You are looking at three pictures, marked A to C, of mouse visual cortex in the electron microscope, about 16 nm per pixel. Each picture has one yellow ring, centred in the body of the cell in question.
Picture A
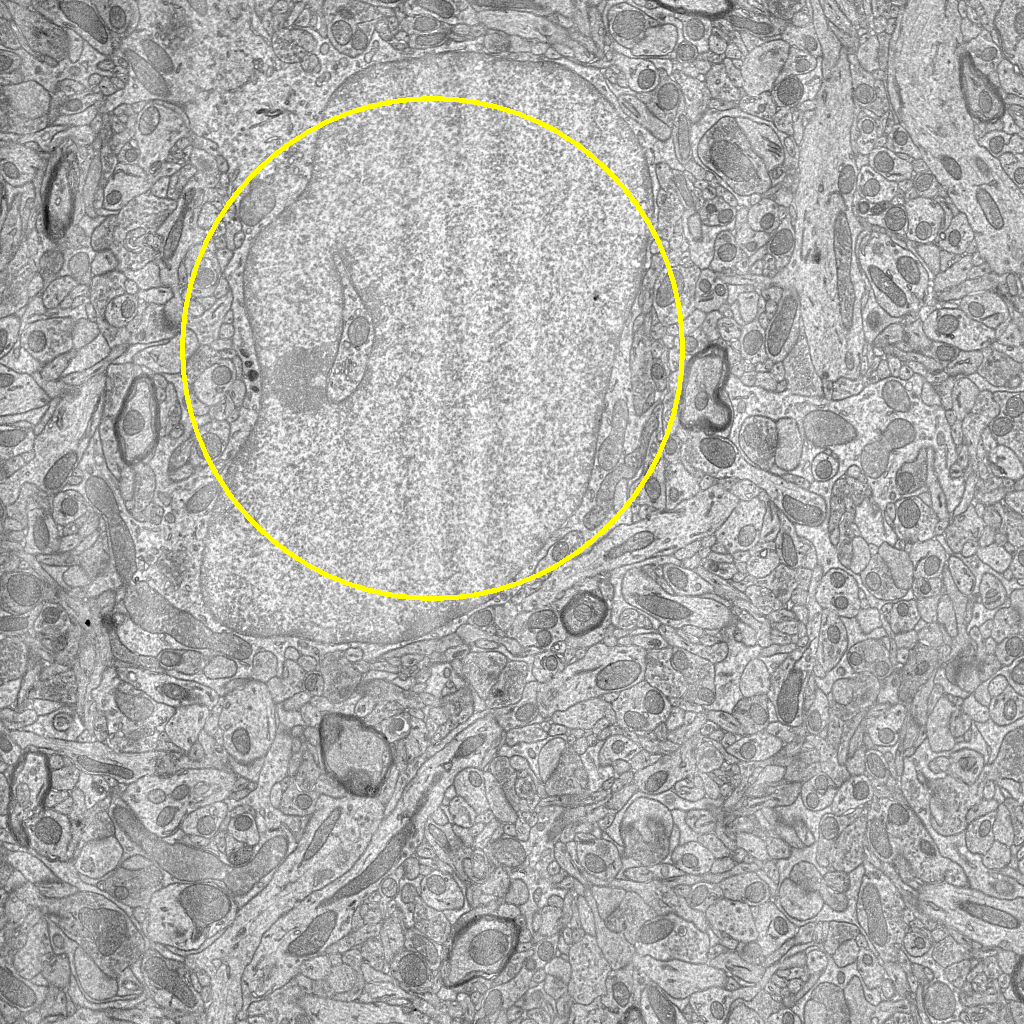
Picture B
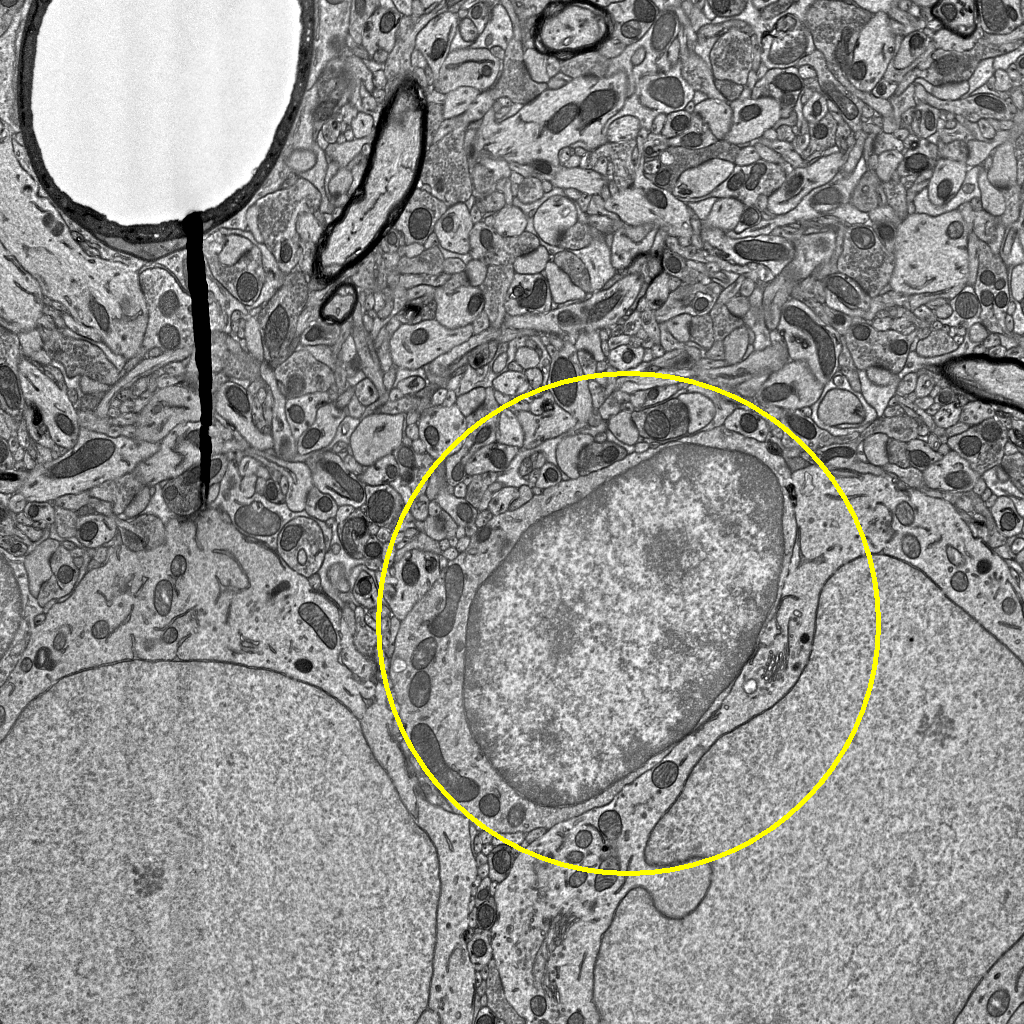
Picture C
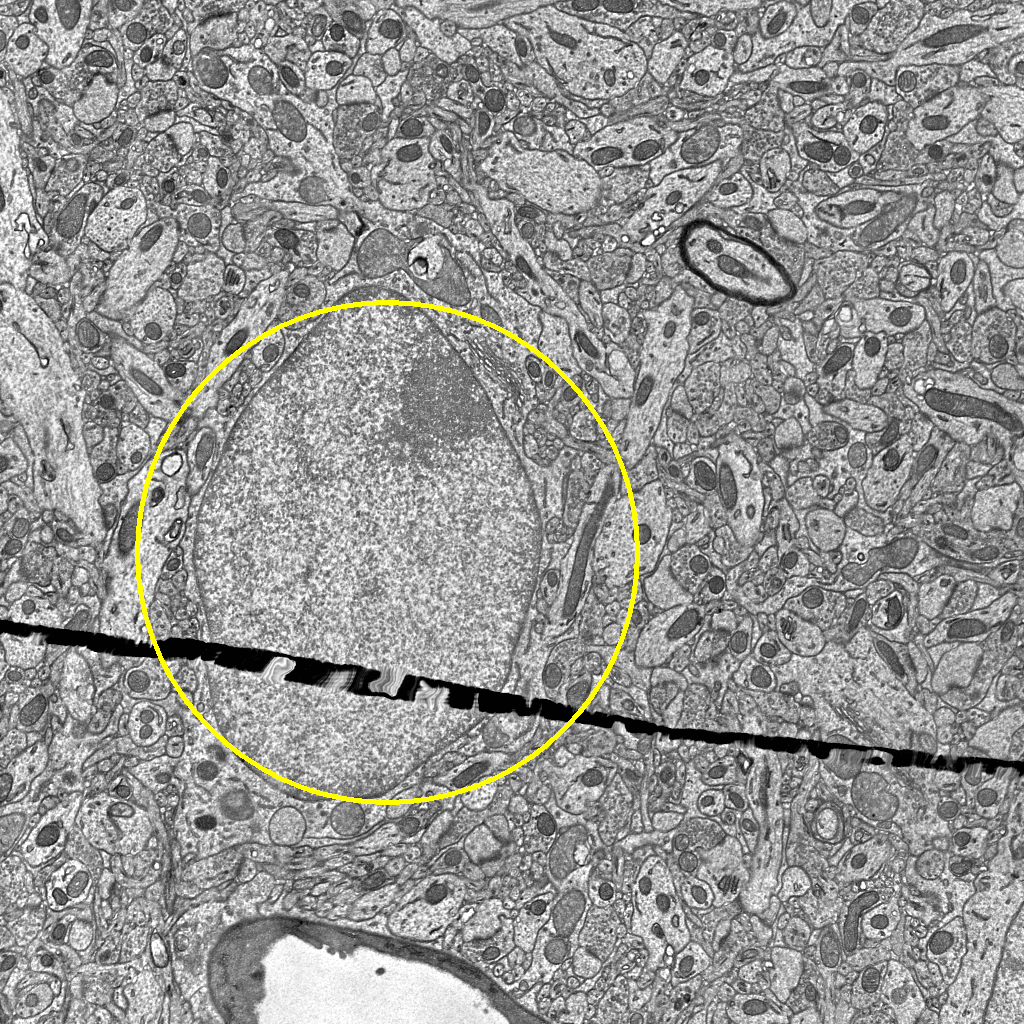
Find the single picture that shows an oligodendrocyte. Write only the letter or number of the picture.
B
